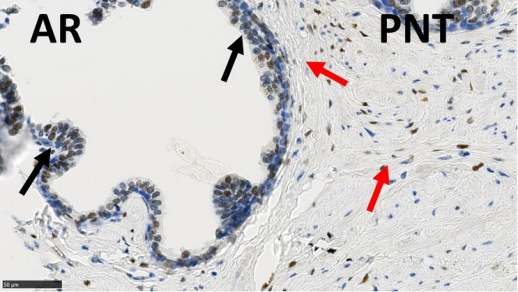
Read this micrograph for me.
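A large gland with an open lumen is lined by a layer of epithelial cells that folds inward in places; many of their nuclei are stained brown. Outside the gland lies pale fibrous stroma with scattered stromal cells whose elongated nuclei are partly stained brown.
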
